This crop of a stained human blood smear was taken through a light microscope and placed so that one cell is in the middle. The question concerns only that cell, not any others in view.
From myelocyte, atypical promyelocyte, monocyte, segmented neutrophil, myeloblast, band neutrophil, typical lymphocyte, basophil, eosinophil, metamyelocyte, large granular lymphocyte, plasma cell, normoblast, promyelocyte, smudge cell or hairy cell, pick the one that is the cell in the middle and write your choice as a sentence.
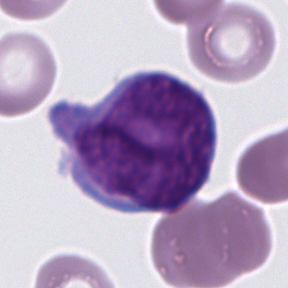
The crop's centre is taken up by an atypical promyelocyte.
